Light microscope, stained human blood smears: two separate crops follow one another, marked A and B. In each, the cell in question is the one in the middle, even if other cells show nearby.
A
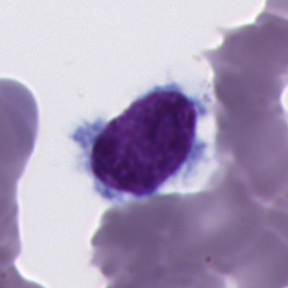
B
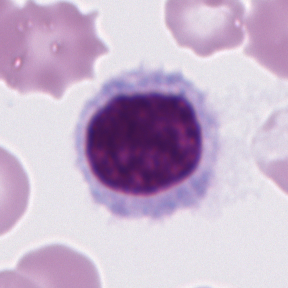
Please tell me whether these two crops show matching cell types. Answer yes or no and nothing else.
yes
